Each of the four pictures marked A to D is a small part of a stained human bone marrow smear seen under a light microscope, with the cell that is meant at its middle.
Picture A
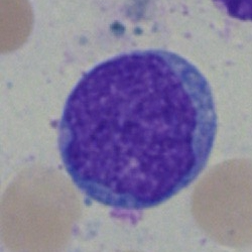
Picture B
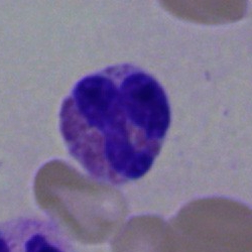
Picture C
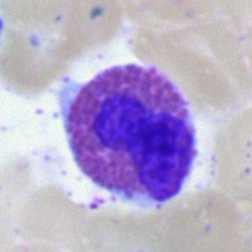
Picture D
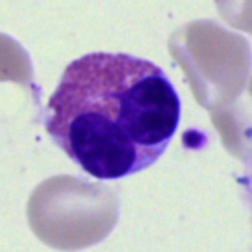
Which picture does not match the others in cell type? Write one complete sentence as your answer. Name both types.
Picture A is the odd one out: it shows a blast, while the others show eosinophils.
